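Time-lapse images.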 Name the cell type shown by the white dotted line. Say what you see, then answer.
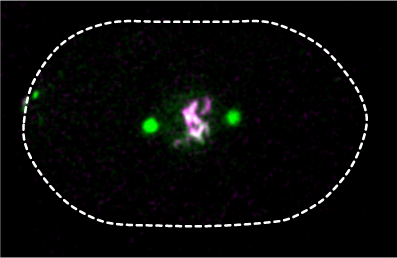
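A single oval cell outlined by a dotted white line. One central cluster of magenta chromosomes between two green dots.
Hence: zygote.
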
